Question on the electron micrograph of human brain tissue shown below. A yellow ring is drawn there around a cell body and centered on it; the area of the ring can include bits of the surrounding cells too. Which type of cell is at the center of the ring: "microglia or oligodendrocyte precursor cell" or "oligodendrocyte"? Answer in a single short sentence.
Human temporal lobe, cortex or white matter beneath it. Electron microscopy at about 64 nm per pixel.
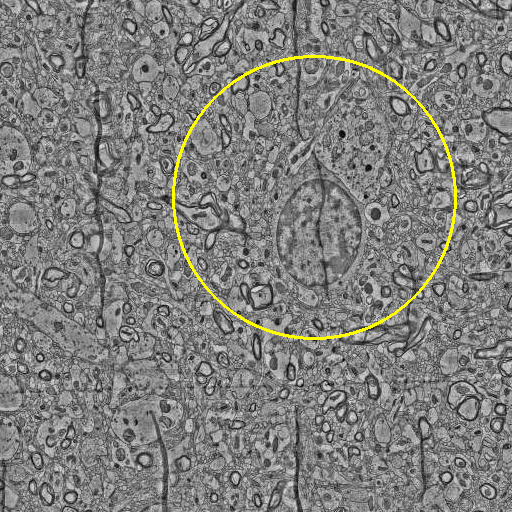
The ring is centered on an oligodendrocyte.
